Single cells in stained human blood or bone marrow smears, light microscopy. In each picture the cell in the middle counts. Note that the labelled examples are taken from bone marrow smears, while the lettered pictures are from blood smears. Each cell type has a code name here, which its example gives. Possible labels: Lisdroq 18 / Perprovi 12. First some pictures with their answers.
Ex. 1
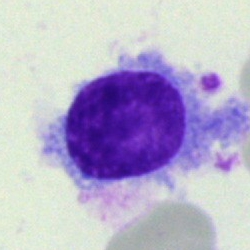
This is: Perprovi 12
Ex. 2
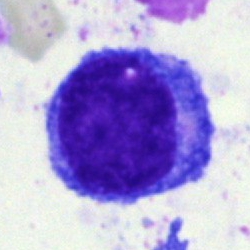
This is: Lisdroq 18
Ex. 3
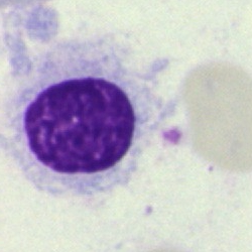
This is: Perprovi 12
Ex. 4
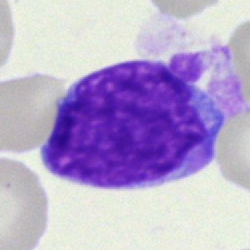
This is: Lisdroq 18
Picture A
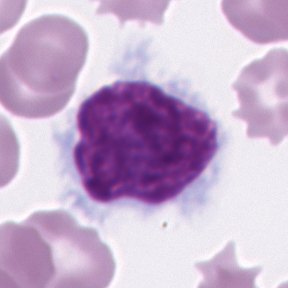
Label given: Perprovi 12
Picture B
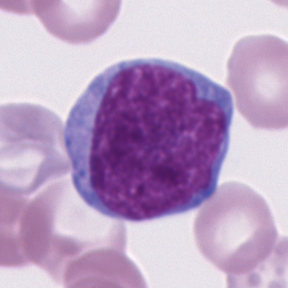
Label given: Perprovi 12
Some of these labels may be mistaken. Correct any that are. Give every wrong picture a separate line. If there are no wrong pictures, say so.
Wrong: B (Perprovi 12); correct: Lisdroq 18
